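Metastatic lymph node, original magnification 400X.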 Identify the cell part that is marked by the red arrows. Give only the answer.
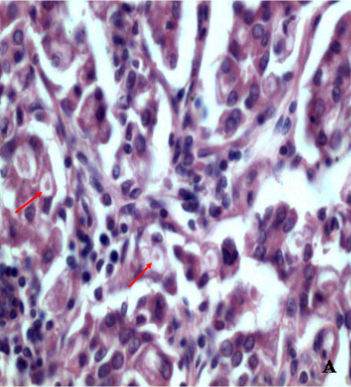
Intracytoplasmic vacuoles.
